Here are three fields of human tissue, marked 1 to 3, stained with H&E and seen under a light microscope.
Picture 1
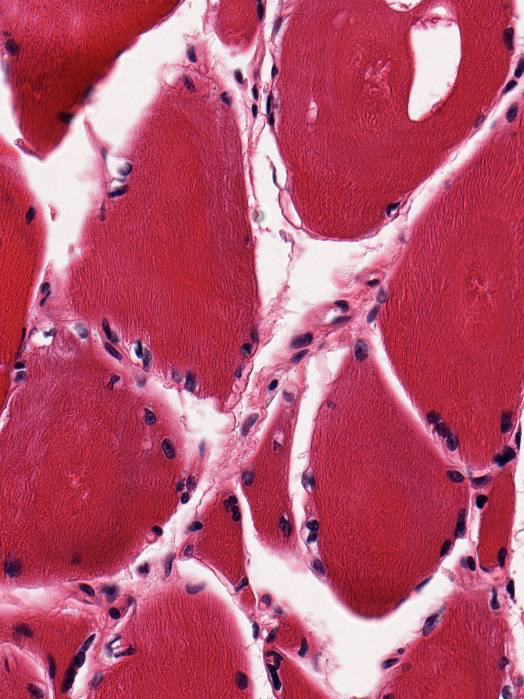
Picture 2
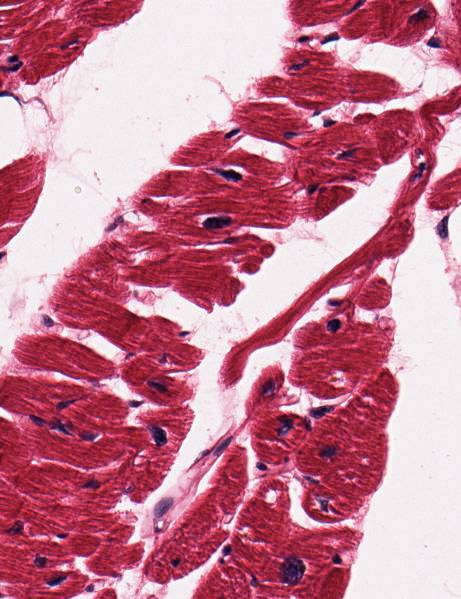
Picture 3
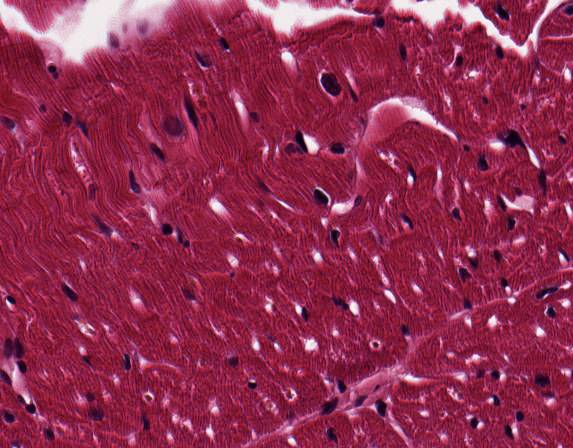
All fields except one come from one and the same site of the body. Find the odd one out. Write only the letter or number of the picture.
1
